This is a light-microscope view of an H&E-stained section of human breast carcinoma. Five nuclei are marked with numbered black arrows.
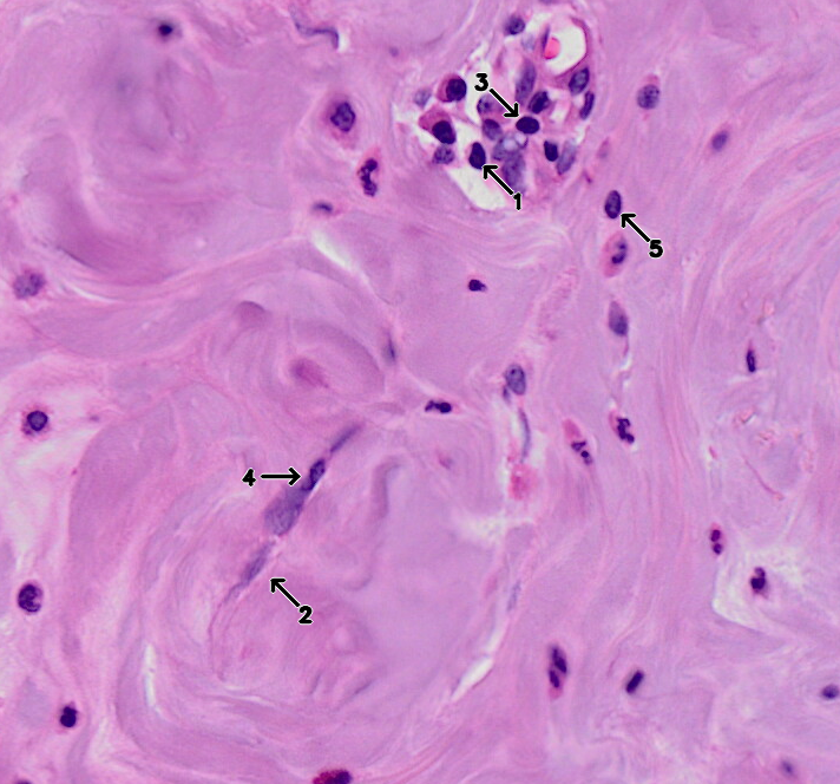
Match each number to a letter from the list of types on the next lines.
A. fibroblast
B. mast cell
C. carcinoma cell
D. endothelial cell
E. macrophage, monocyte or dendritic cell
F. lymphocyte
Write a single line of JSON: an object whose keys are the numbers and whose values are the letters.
{"1": "F", "2": "A", "3": "F", "4": "A", "5": "F"}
